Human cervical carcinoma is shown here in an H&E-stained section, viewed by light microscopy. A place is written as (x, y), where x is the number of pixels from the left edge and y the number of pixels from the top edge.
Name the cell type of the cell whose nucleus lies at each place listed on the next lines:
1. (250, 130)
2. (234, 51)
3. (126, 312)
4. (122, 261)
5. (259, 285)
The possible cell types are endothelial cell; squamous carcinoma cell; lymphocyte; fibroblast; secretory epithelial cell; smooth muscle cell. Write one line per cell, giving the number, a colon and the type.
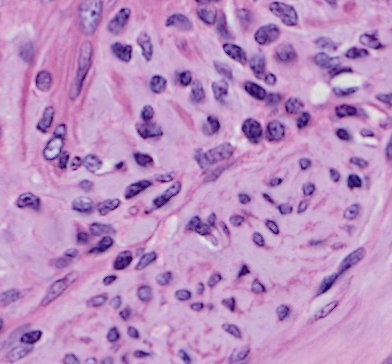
1: lymphocyte
2: lymphocyte
3: smooth muscle cell
4: lymphocyte
5: smooth muscle cell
